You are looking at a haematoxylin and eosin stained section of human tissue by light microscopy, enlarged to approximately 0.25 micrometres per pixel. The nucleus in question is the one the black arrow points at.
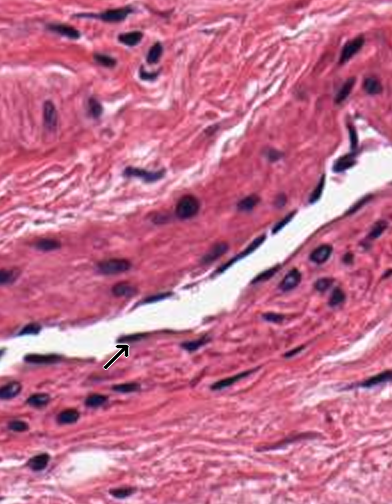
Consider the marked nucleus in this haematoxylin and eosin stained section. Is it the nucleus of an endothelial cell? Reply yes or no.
yes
